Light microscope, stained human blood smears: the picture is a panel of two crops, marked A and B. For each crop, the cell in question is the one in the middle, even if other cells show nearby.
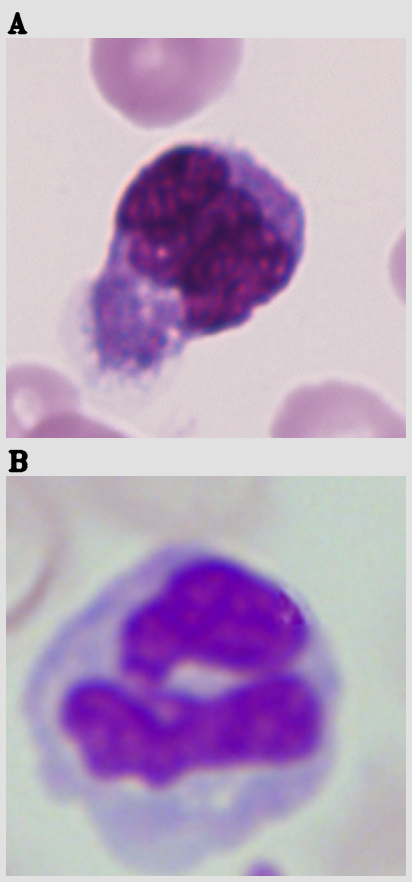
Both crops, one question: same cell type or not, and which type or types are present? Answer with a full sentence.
Yes, both crops in this set show monocytes.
